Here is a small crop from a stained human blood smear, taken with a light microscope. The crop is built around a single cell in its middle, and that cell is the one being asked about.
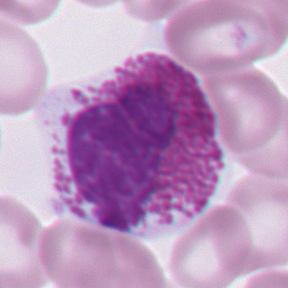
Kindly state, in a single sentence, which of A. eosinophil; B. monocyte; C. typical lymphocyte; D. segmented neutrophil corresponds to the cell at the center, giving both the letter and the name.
Option A correctly states that the central cell is an eosinophil.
